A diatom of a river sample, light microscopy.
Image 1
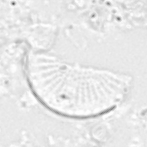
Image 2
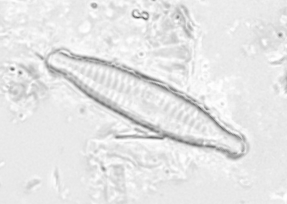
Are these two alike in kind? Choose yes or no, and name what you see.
No. First Stephanodiscus, second Fragilaria.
